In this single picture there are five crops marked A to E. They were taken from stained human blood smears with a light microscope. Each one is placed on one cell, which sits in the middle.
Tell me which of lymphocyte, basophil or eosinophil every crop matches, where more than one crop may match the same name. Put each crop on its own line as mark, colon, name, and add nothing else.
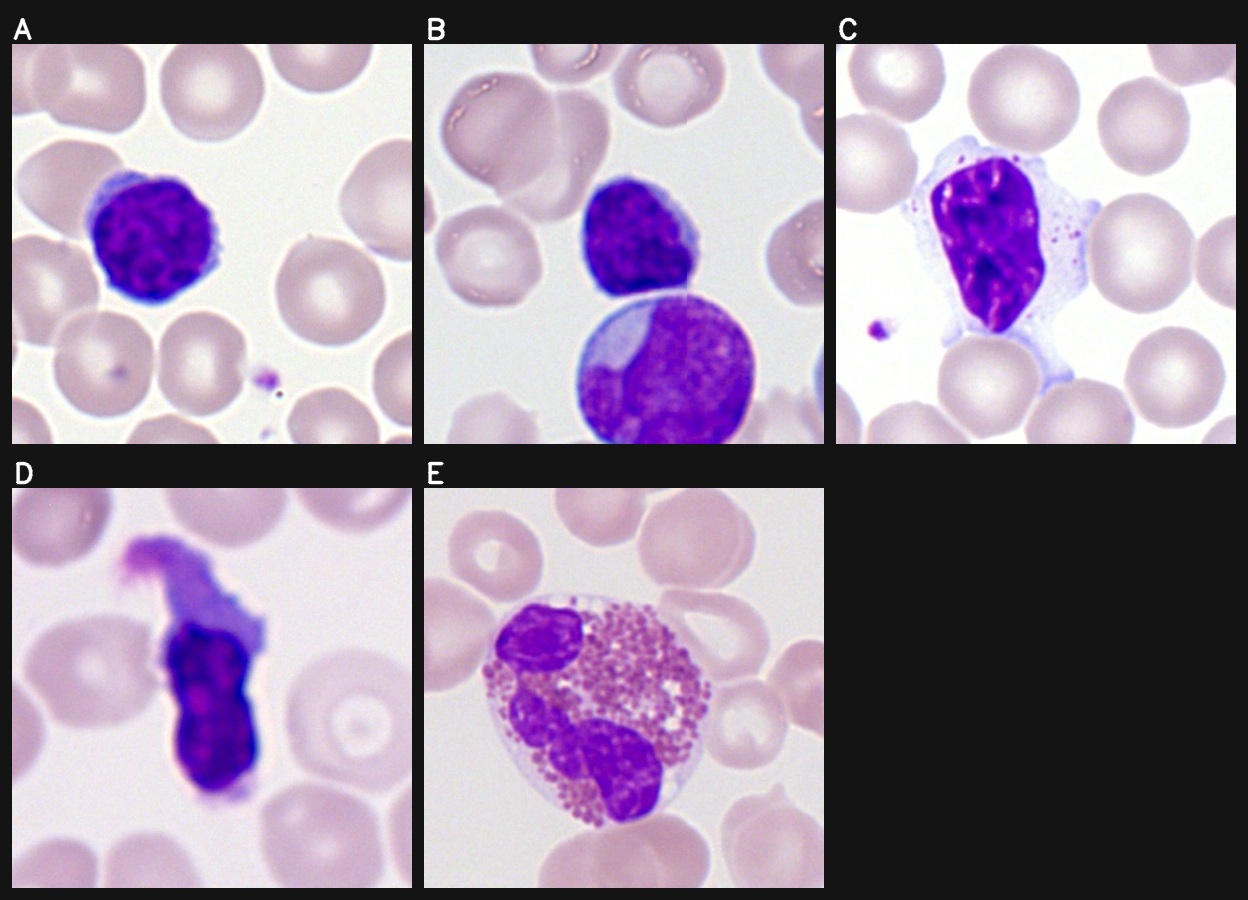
A: lymphocyte
B: lymphocyte
C: lymphocyte
D: lymphocyte
E: eosinophil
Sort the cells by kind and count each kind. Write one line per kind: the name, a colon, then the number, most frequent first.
lymphocyte: 4
eosinophil: 1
